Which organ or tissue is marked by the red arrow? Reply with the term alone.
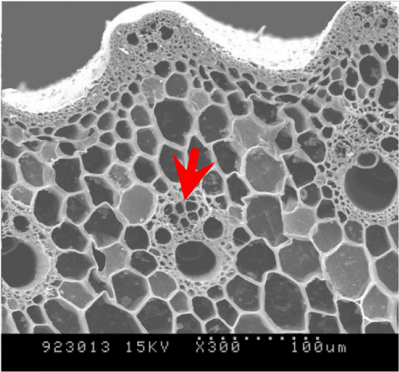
Phloem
